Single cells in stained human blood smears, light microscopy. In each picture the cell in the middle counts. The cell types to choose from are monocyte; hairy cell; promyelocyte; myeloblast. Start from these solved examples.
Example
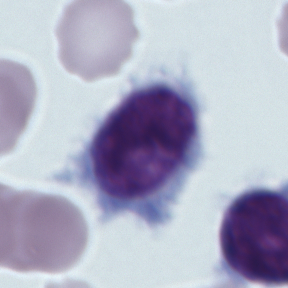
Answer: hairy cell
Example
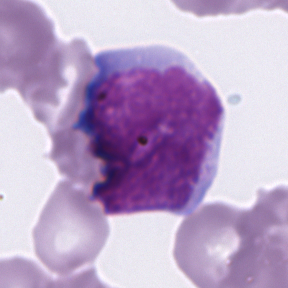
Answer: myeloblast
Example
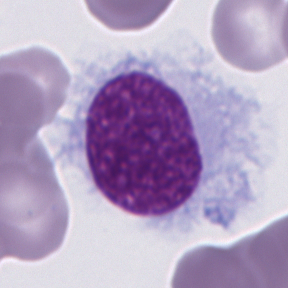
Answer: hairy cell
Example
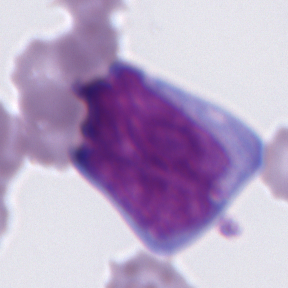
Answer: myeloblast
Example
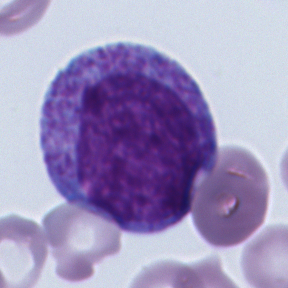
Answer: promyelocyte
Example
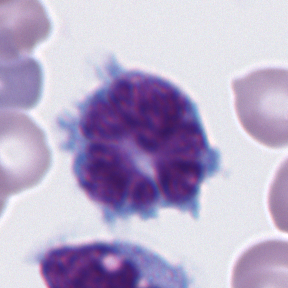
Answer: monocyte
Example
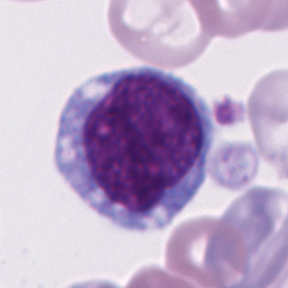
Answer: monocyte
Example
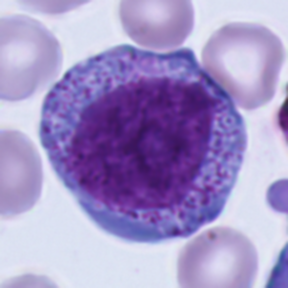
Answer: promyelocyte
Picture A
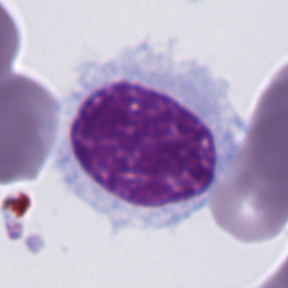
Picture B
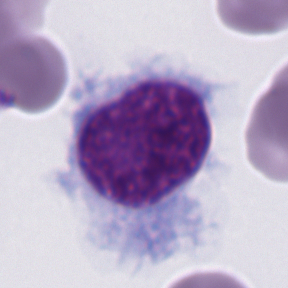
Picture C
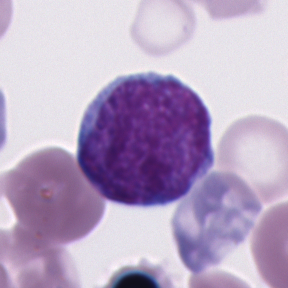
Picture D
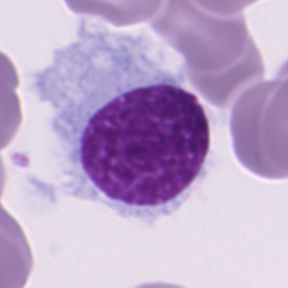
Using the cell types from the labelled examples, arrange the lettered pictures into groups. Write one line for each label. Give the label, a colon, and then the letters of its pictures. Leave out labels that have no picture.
hairy cell: A, B, D
myeloblast: C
